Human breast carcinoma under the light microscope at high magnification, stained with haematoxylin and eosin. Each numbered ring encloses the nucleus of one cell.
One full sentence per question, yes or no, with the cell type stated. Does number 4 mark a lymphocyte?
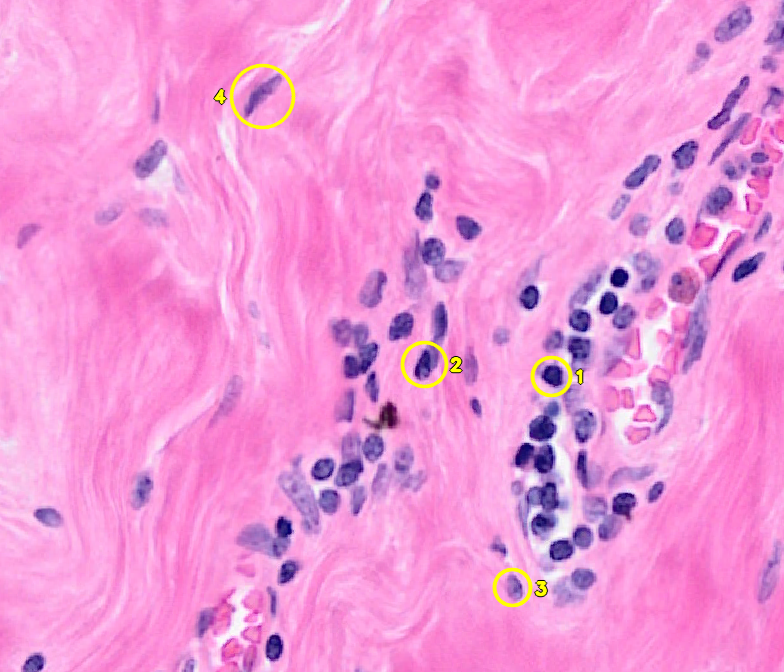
No, the right label for cell 4 is a fibroblast rather than a lymphocyte.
